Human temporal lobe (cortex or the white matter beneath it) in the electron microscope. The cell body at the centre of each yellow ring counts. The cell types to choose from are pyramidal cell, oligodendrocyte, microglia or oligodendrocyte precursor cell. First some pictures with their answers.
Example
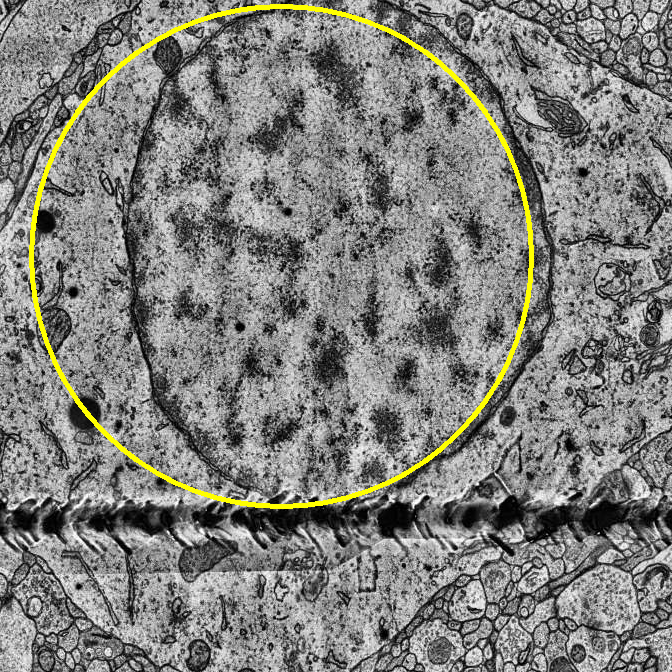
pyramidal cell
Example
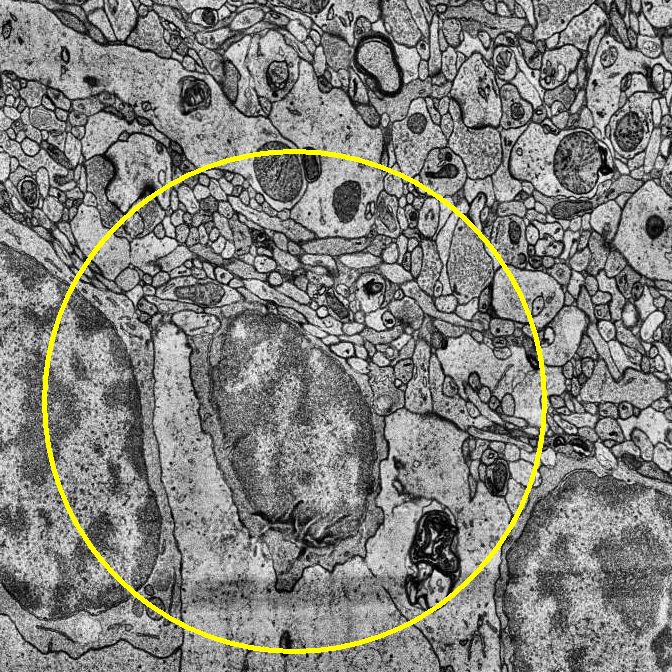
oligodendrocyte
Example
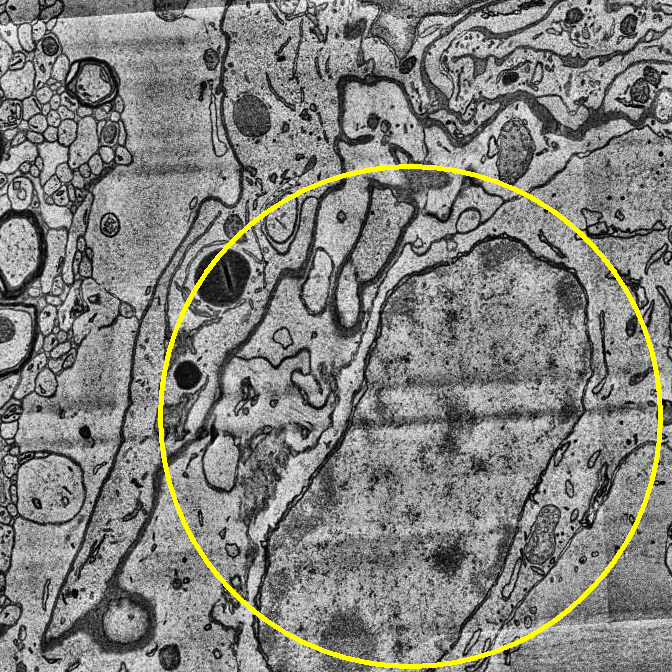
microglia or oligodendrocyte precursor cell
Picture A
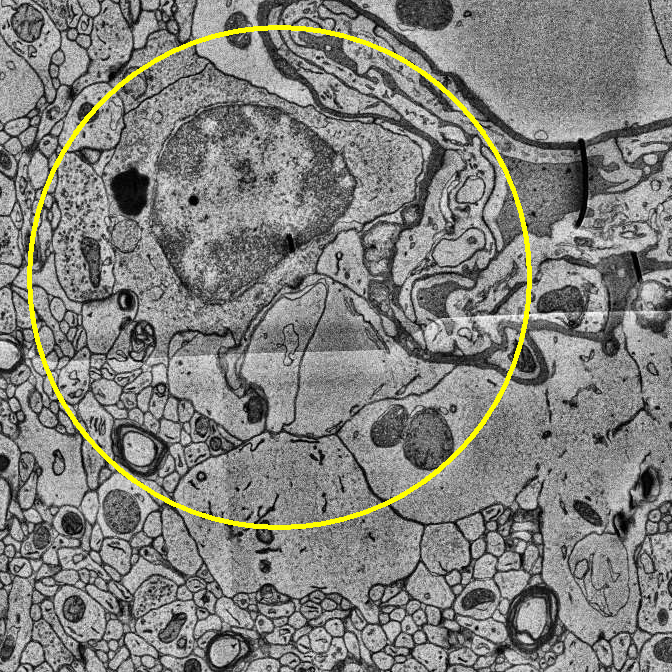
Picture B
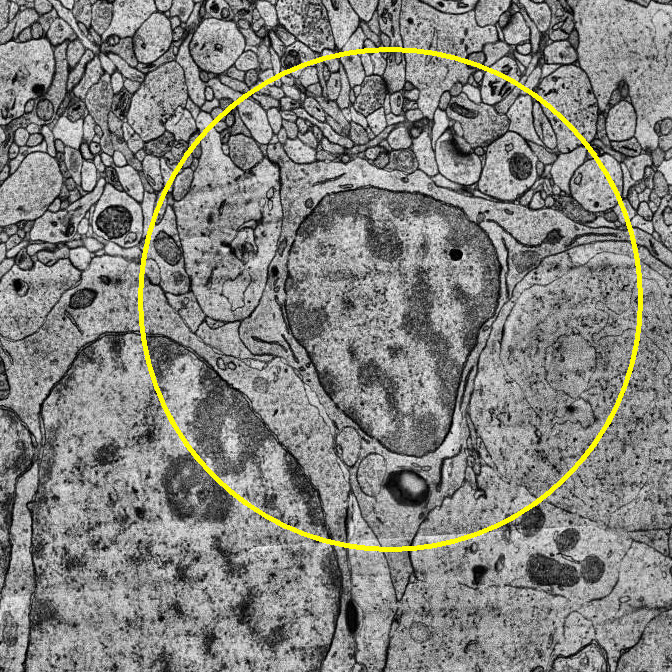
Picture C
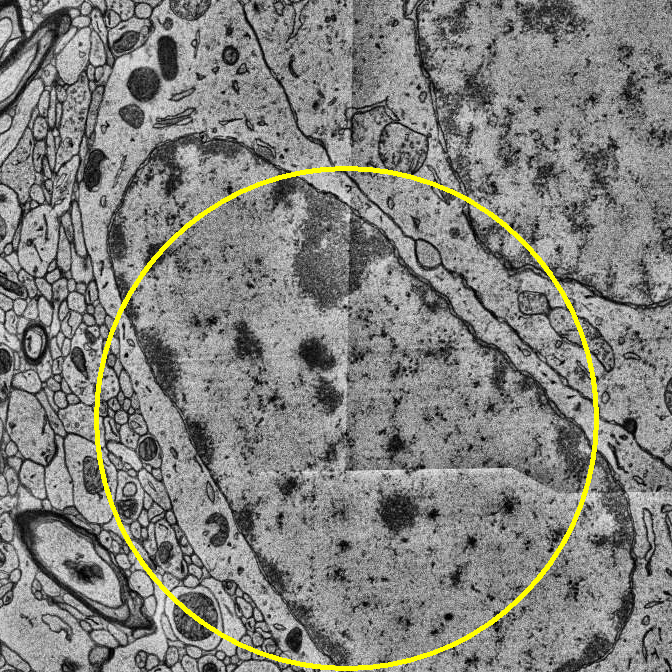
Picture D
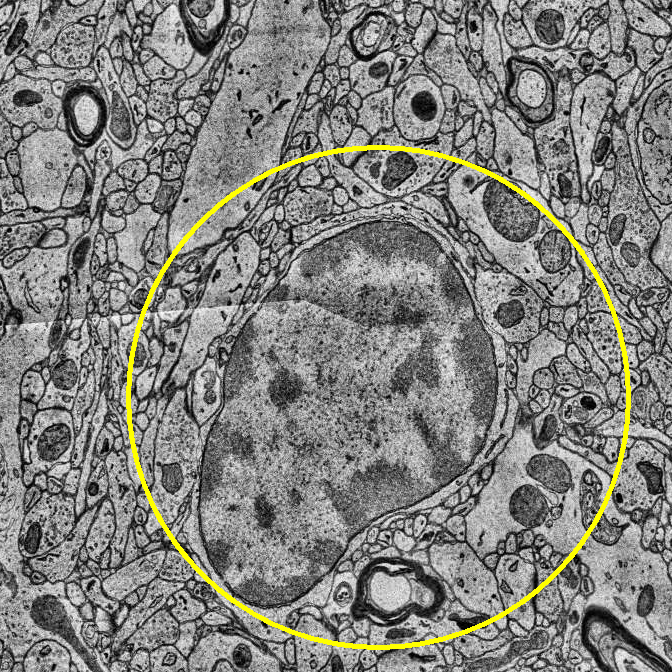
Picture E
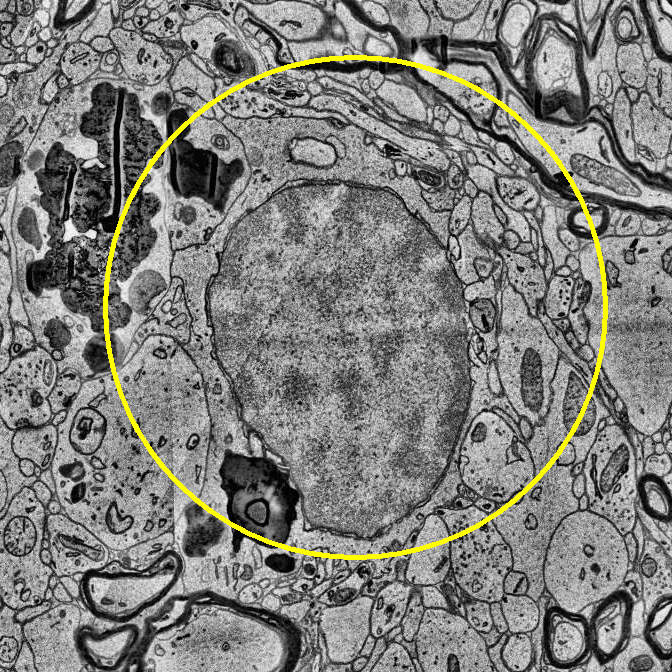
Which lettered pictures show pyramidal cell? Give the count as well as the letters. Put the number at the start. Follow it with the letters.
0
